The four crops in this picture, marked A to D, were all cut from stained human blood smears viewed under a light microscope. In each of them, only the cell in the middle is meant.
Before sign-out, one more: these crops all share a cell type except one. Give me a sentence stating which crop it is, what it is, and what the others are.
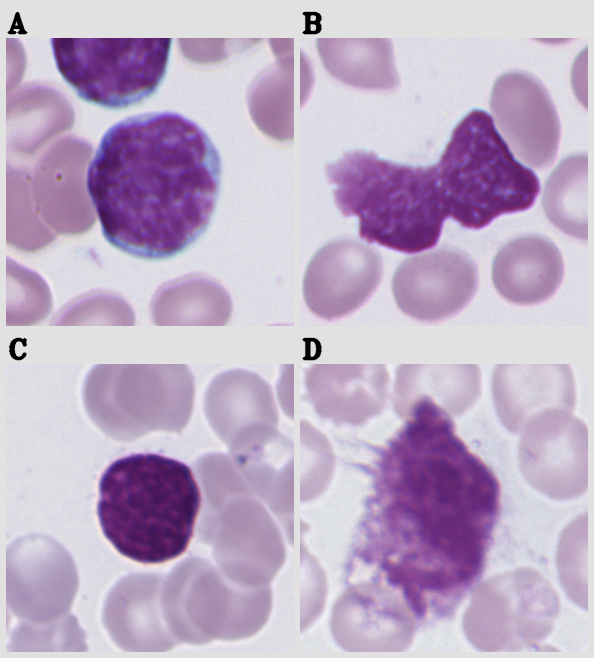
All the crops show smudge cells, barring crop A, which is a typical lymphocyte.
